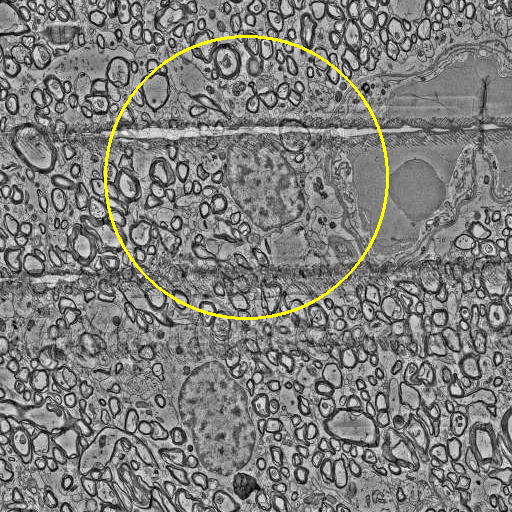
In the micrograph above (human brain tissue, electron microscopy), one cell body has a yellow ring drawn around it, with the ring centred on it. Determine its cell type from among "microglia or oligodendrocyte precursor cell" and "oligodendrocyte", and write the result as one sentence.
The cell whose body is ringed is an oligodendrocyte.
